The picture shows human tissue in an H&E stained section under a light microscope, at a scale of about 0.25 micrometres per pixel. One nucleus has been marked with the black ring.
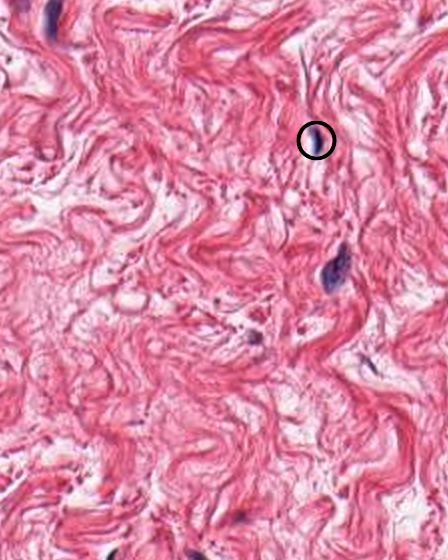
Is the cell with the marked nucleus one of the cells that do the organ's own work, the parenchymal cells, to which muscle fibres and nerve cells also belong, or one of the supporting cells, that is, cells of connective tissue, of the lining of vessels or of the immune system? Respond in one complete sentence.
The marked nucleus is found in a supporting cell.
